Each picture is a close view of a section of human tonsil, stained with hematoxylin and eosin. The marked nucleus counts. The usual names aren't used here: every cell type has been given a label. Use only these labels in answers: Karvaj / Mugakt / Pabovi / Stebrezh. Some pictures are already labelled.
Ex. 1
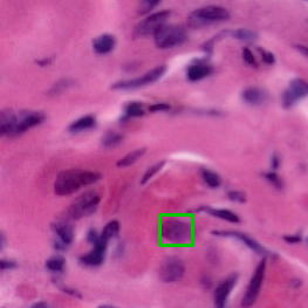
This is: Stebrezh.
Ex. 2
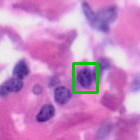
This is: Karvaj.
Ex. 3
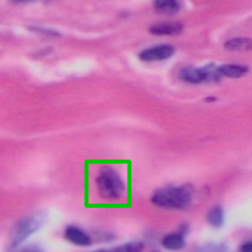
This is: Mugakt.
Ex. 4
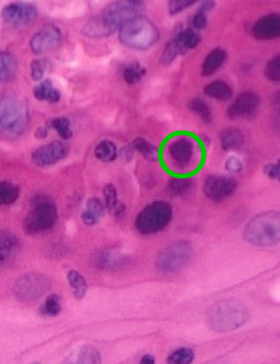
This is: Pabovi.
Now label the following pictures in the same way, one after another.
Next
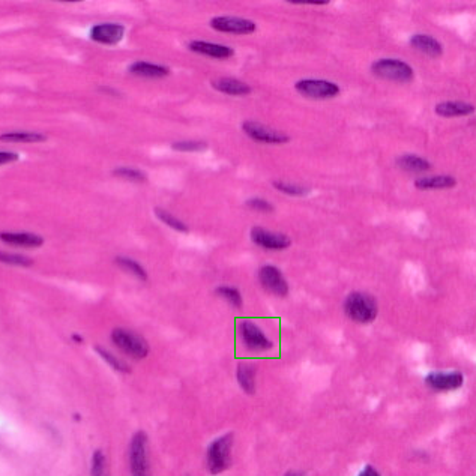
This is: Pabovi.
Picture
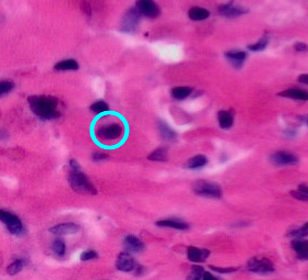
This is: Mugakt.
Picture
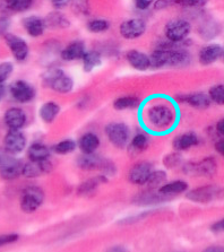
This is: Karvaj.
